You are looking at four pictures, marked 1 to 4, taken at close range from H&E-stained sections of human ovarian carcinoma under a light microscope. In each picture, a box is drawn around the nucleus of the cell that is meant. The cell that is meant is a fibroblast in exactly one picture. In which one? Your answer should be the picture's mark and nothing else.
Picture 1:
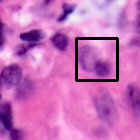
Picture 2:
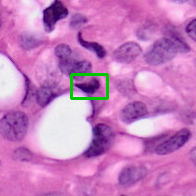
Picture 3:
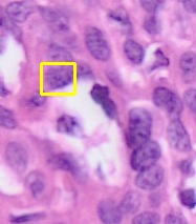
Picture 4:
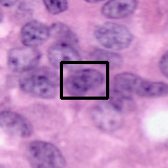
1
